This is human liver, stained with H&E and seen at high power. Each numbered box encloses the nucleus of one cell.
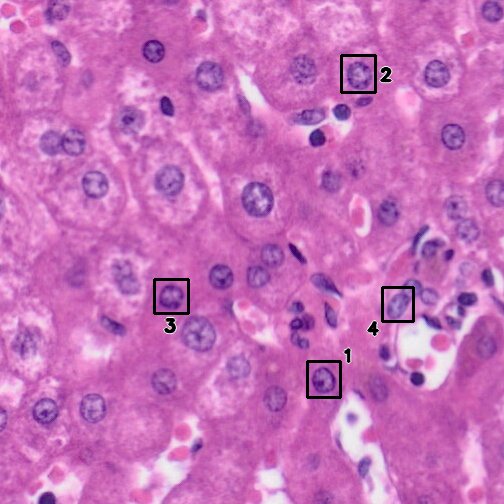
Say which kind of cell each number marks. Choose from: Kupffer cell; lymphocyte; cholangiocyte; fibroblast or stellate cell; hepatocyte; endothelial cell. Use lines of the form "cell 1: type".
cell 1: hepatocyte
cell 2: hepatocyte
cell 3: hepatocyte
cell 4: cholangiocyte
